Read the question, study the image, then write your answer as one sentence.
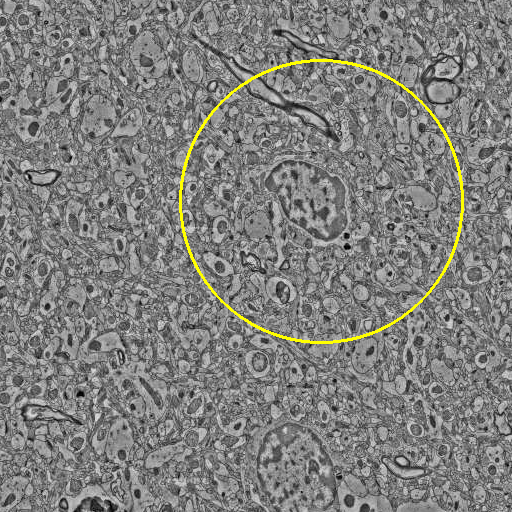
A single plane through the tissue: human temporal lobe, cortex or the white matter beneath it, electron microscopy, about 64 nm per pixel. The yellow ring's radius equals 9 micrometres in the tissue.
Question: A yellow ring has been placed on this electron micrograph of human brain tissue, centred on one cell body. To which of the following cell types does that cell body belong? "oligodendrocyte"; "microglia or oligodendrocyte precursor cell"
That cell body belongs to a microglial cell or oligodendrocyte precursor cell.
